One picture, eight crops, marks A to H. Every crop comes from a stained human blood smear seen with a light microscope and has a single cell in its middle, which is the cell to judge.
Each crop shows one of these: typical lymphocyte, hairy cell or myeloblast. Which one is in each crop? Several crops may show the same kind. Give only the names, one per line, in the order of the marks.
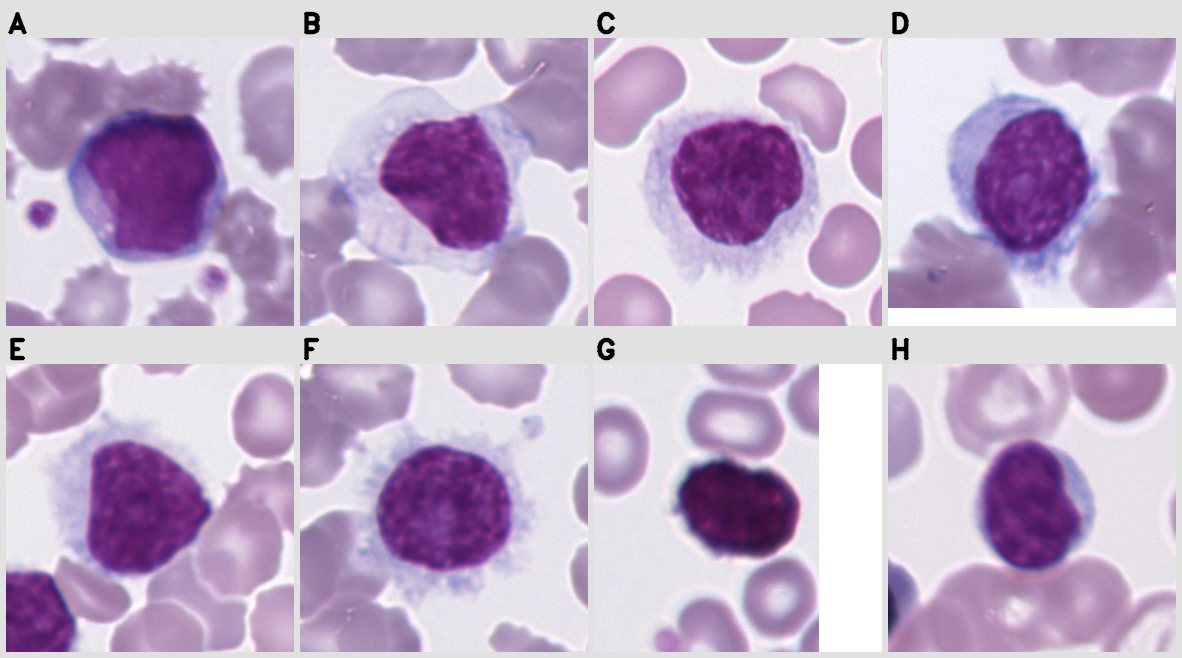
myeloblast
hairy cell
hairy cell
hairy cell
hairy cell
hairy cell
myeloblast
typical lymphocyte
